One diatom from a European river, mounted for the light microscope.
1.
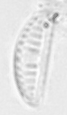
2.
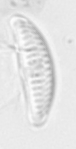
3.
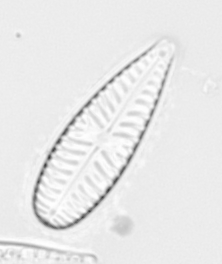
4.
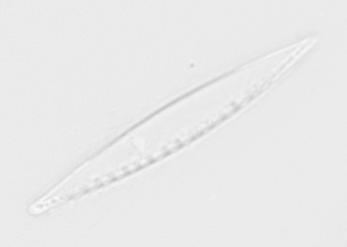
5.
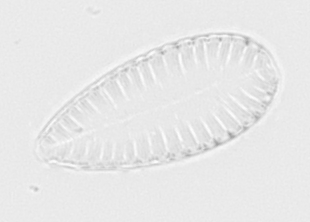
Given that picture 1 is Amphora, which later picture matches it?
2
